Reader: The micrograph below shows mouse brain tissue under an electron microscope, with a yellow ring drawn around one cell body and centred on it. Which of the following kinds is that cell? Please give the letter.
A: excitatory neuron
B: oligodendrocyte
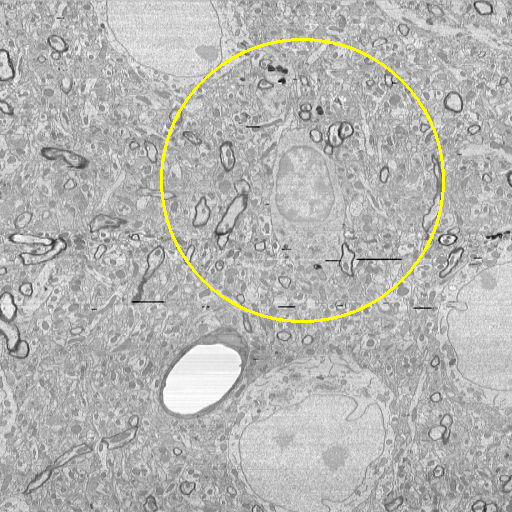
B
